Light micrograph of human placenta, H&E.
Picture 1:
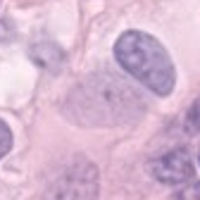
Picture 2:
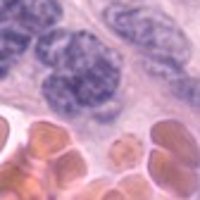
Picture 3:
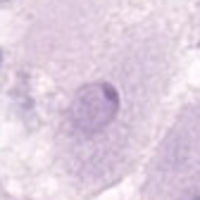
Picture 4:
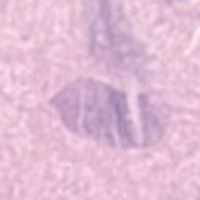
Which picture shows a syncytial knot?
Picture 2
